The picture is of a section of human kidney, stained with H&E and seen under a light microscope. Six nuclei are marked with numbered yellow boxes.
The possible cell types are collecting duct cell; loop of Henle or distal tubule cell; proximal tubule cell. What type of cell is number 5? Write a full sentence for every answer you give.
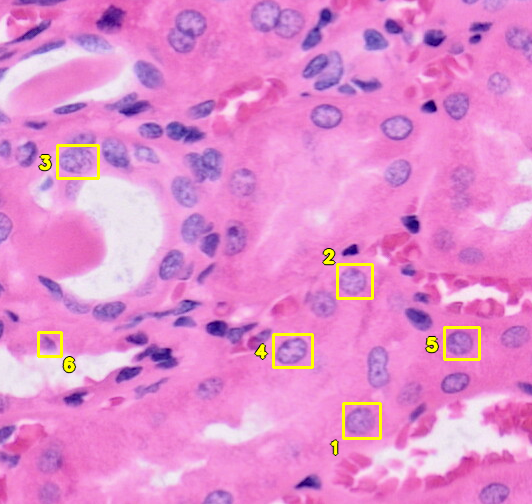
The marked cell with the number 5 is recognised as a proximal tubule cell.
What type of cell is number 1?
Here the cell numbered 1 is a proximal tubule cell.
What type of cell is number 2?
Among the marked nuclei, number 2 belongs to a proximal tubule cell.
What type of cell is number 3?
The cell tagged with 3 in this tissue section is a collecting duct cell.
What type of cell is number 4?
The numeral 4 marks a proximal tubule cell in this section.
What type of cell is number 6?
The cell that goes by number 6 is a loop of Henle or distal tubule cell.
